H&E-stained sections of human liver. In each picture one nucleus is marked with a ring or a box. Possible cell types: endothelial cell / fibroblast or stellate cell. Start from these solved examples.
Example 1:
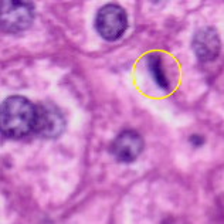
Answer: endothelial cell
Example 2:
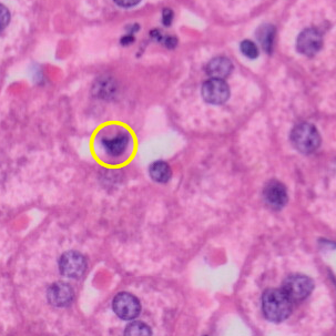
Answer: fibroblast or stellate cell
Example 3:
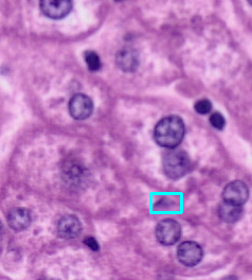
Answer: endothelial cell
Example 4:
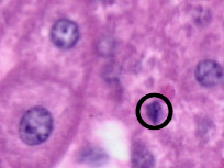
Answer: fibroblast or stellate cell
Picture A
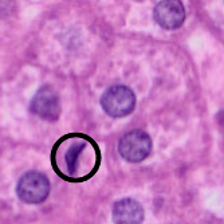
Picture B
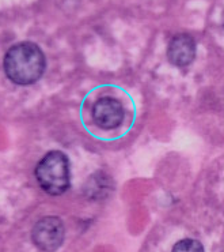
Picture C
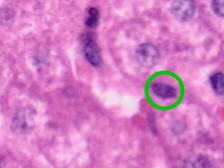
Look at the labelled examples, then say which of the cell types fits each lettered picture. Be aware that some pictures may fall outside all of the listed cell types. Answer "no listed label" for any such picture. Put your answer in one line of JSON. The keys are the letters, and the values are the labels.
{"A": "endothelial cell", "B": "no listed label", "C": "fibroblast or stellate cell"}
